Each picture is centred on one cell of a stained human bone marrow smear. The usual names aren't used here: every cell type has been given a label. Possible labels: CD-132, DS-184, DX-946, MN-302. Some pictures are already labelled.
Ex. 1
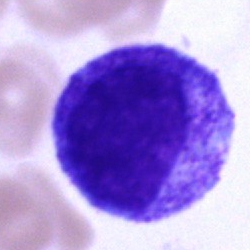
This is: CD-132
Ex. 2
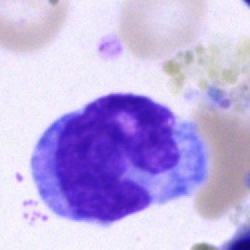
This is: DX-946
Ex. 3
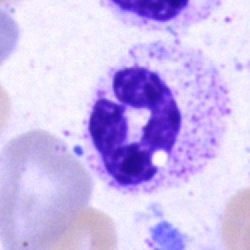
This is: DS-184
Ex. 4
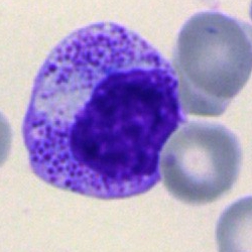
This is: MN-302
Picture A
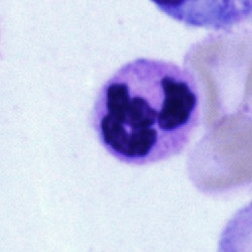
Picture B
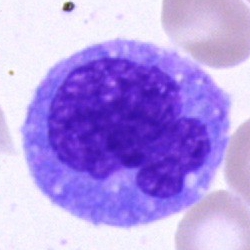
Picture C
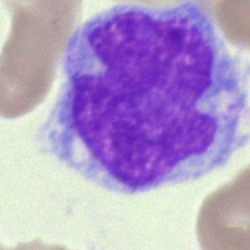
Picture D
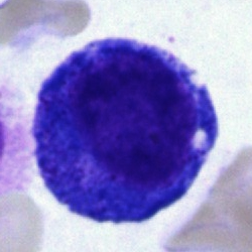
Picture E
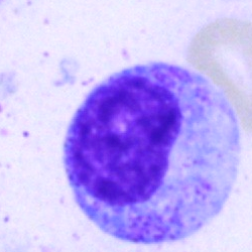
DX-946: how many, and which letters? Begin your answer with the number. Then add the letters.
2, namely B, C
